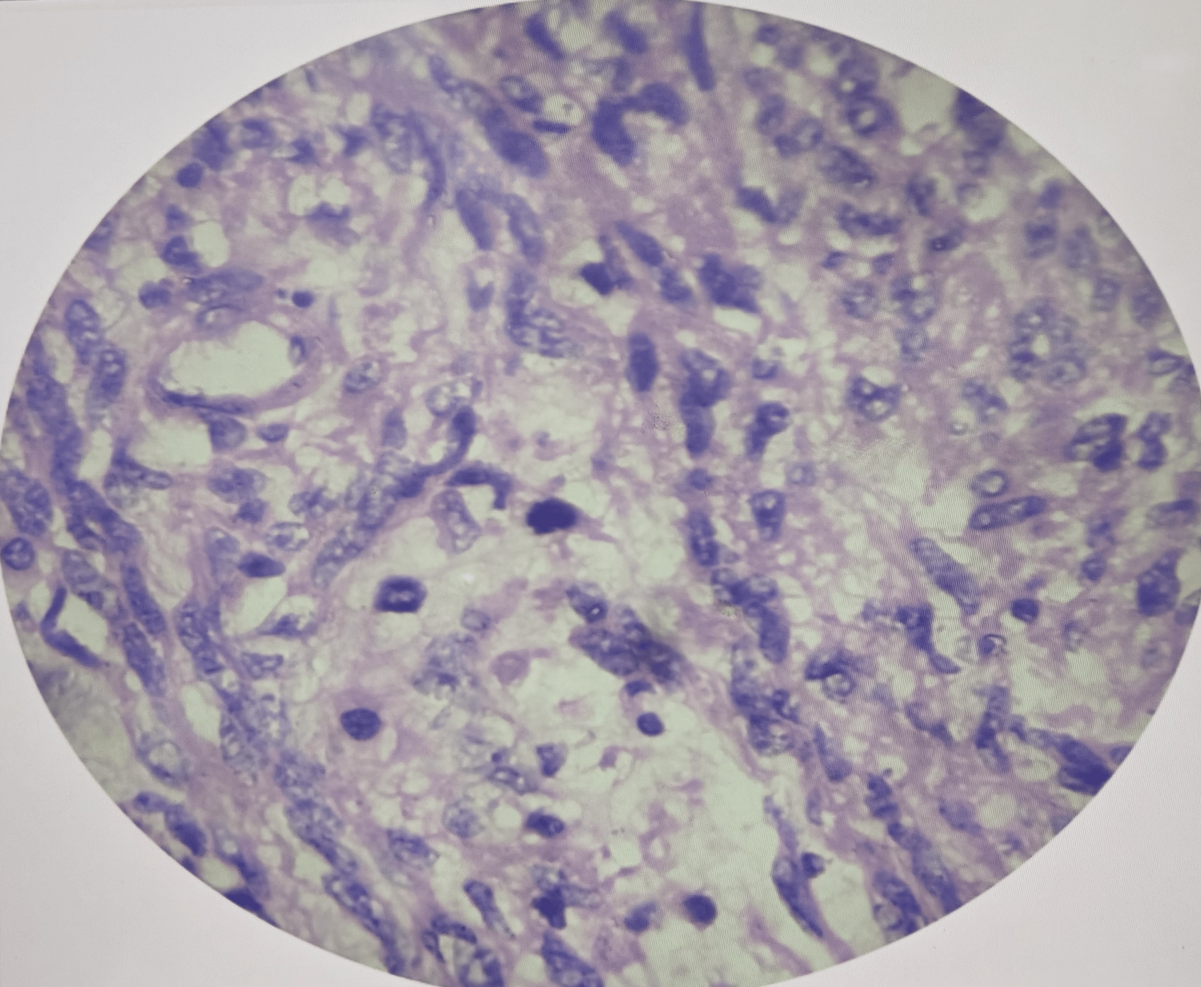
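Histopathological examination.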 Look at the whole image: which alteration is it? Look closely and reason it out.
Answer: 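Mild-to-moderate cytologic atypia. Nuclei vary in size and shape from oval to elongate. Several nuclei are enlarged, irregular and dark-staining. Nuclei are not bizarre or markedly pleomorphic throughout.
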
